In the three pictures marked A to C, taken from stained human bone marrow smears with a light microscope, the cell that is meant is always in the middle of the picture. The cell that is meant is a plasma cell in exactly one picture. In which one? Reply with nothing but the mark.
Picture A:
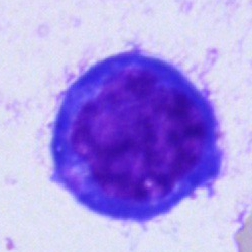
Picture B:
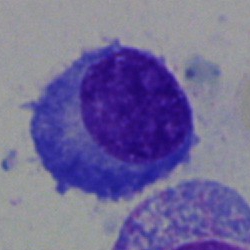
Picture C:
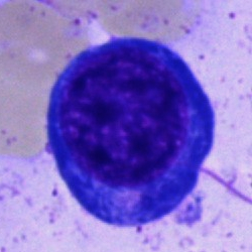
B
